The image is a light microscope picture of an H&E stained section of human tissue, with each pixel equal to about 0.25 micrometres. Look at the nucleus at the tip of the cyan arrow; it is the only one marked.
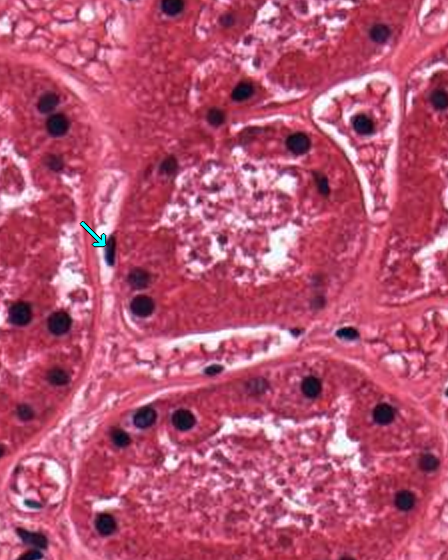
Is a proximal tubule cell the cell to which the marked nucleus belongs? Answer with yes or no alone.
no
